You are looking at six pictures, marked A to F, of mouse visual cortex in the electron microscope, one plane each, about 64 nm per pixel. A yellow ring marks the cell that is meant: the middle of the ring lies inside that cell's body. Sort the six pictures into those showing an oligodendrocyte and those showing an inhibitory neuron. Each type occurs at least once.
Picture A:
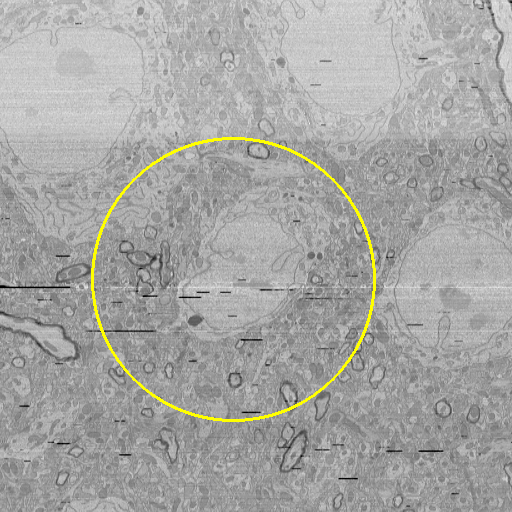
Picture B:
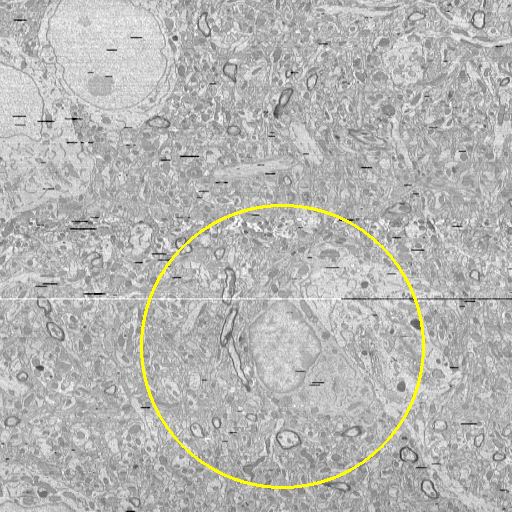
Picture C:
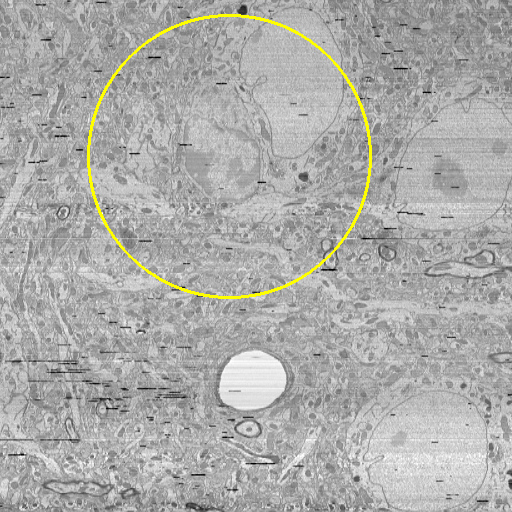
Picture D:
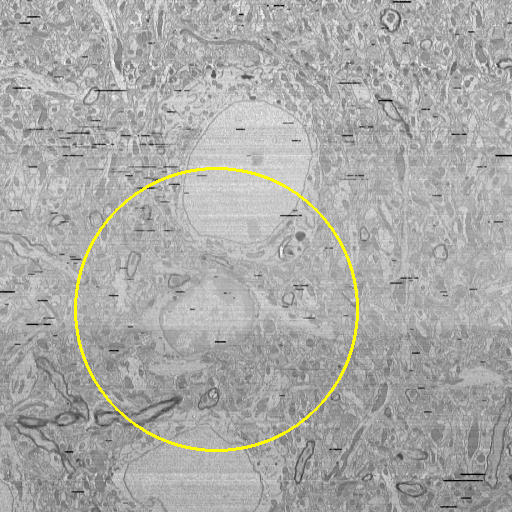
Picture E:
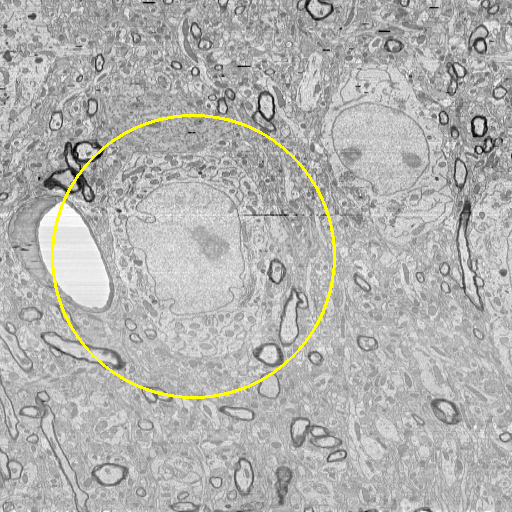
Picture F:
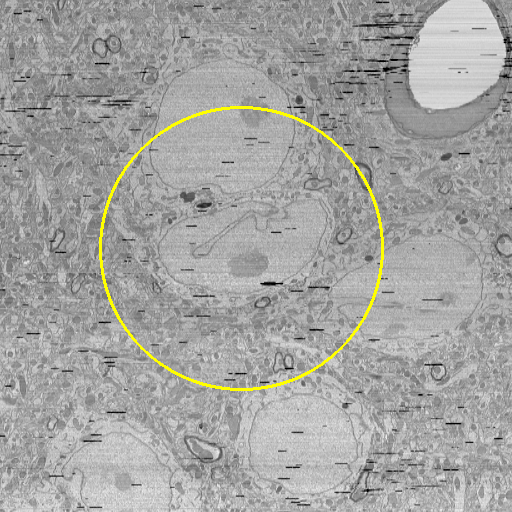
Pictures B, C and D show oligodendrocytes, while pictures A, E and F show inhibitory neurons.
